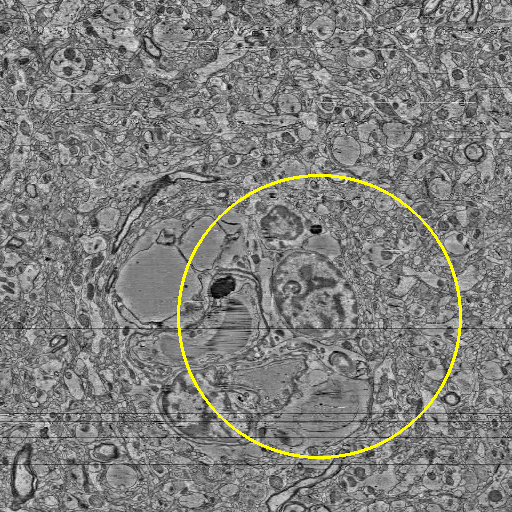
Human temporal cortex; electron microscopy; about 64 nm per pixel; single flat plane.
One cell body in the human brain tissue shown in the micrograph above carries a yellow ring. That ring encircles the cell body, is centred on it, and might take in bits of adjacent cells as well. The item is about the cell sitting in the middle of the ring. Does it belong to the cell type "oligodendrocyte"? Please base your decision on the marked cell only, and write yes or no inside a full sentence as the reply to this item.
Yes, the cell at the middle of the ring in the micrograph is of this kind.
